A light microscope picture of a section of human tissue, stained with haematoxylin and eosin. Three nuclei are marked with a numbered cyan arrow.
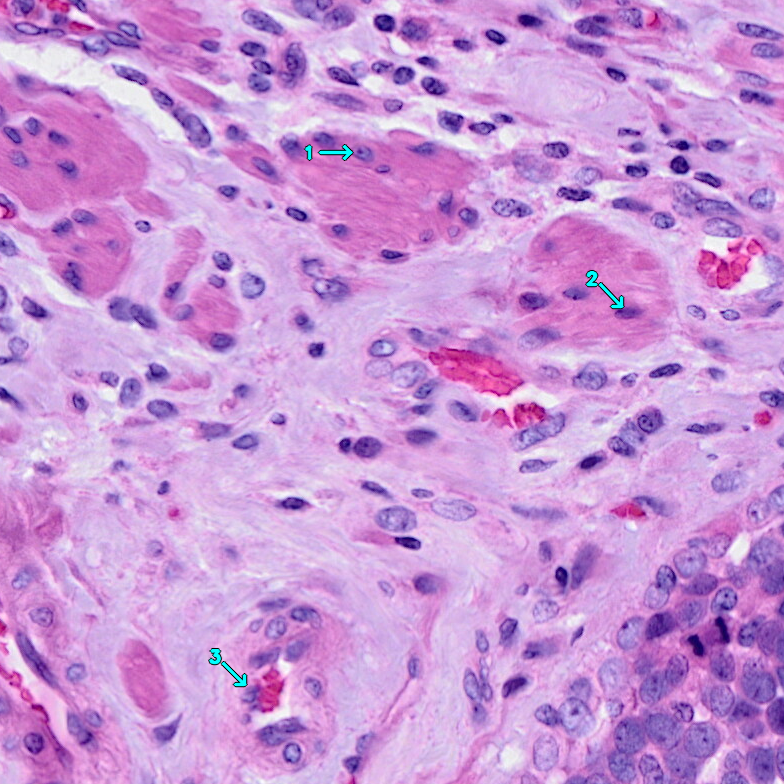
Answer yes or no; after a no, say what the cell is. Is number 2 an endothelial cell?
No, it is a smooth muscle cell.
